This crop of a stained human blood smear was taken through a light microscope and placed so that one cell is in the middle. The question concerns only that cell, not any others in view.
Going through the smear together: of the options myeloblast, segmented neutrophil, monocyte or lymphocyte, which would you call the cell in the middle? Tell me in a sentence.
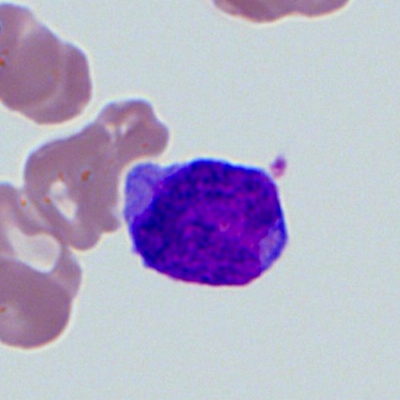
The crop centres on a single cell, and that cell is a lymphocyte.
